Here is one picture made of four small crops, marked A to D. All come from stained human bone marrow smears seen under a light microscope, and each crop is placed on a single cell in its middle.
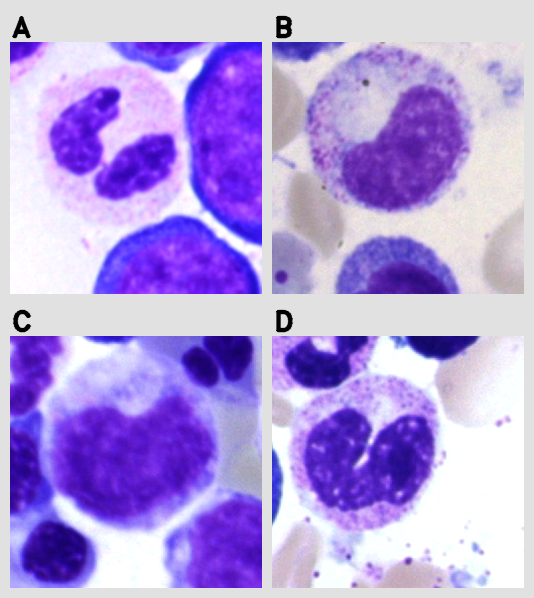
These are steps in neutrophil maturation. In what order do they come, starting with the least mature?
C, B, D, A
